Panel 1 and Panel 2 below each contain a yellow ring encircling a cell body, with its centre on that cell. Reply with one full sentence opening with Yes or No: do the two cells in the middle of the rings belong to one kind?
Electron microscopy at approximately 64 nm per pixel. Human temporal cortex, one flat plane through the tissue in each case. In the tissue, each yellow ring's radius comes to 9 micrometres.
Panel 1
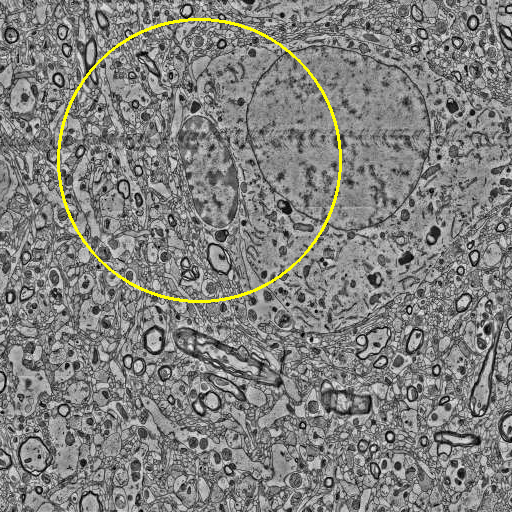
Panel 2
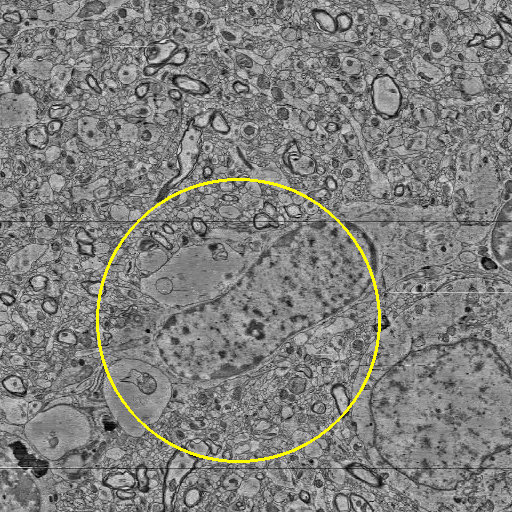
Yes, the cells at the middle of the Panel 1 ring and the Panel 2 ring are of one kind.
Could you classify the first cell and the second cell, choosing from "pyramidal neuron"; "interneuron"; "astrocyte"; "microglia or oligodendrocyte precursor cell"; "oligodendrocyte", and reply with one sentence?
Each cell, in the first picture and the second, is a microglial cell or oligodendrocyte precursor cell.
